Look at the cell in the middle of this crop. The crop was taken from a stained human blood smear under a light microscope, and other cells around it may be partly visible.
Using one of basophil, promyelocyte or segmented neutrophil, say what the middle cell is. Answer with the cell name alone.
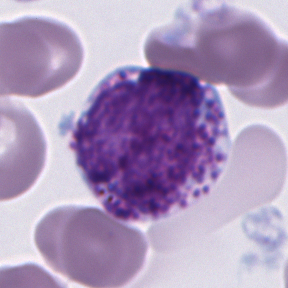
basophil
